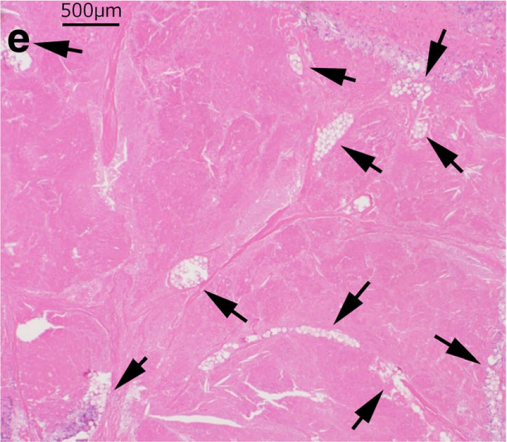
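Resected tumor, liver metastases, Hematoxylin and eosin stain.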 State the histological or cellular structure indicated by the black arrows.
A: Microspheres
